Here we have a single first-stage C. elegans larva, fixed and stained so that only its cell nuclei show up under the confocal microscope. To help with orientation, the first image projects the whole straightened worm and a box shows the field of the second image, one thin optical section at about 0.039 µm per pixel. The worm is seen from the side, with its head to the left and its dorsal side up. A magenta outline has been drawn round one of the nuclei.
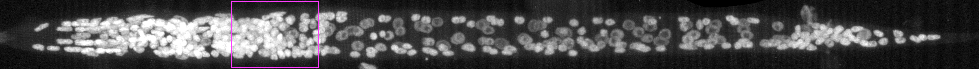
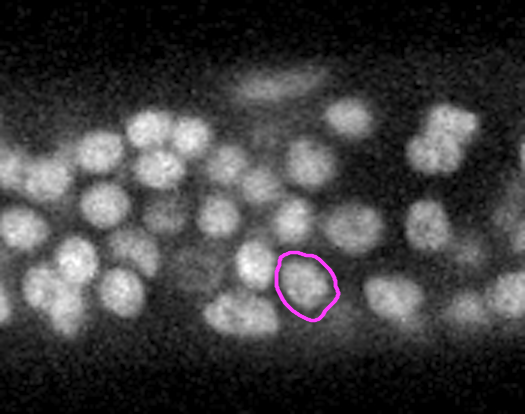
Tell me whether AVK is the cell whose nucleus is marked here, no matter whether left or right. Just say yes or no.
yes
